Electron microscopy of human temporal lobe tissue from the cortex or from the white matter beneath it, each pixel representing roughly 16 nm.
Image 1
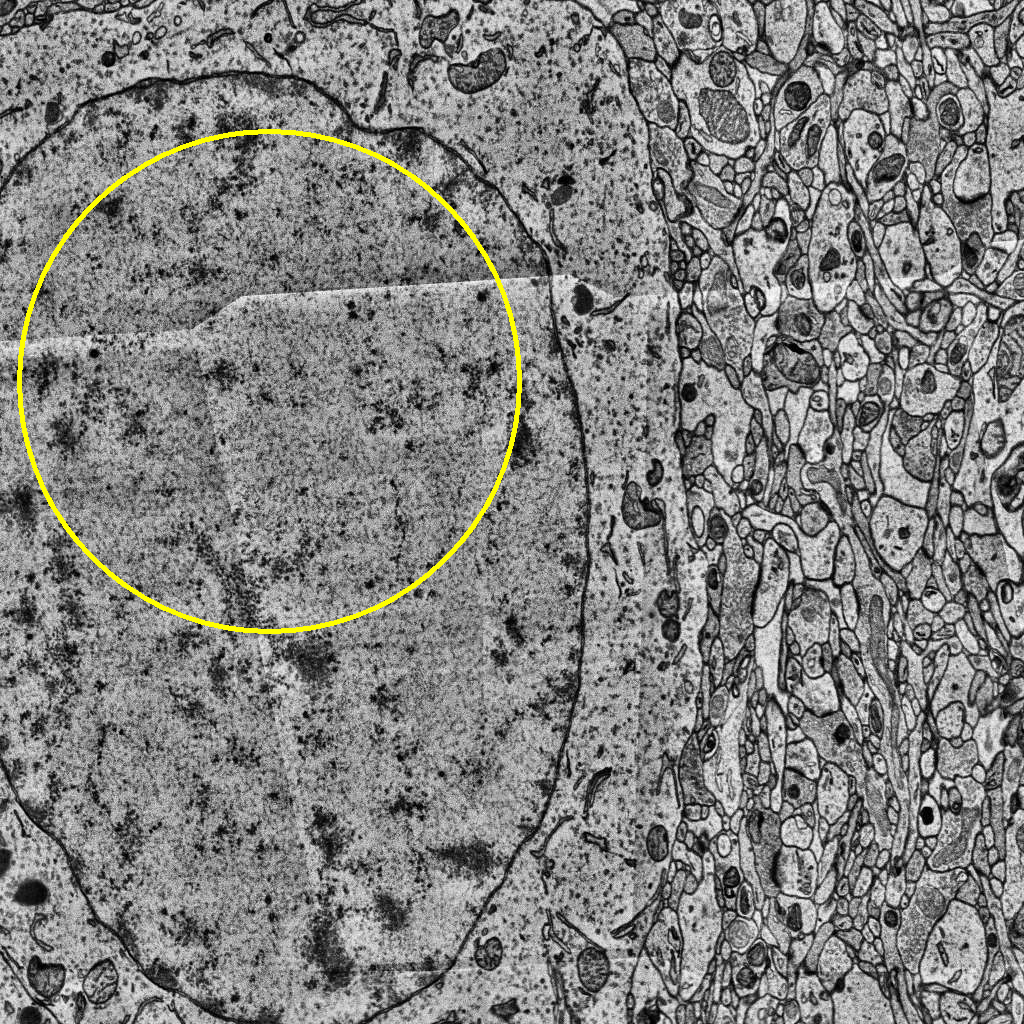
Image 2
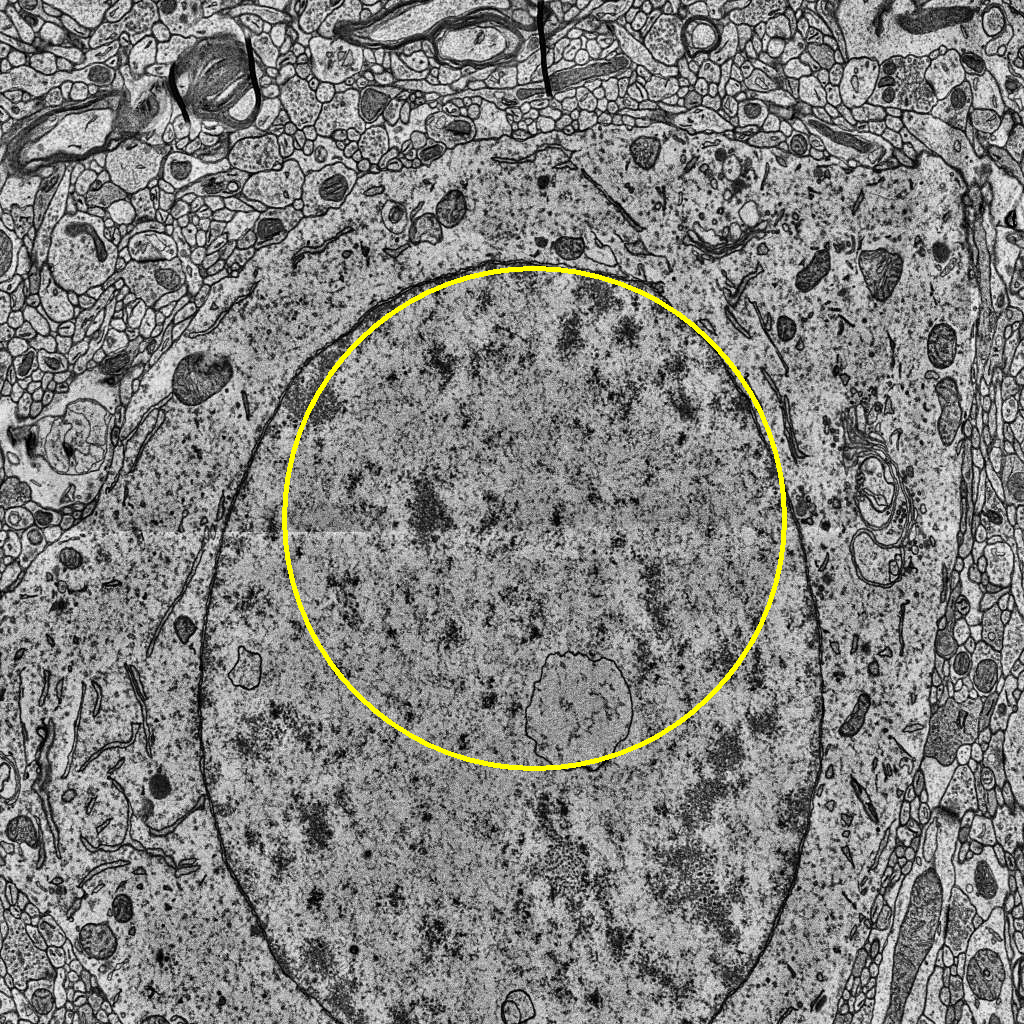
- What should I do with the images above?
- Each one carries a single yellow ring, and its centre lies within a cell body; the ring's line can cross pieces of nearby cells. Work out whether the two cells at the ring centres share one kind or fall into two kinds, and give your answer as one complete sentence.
The ring-centre cells of Image 1 and Image 2 share one kind.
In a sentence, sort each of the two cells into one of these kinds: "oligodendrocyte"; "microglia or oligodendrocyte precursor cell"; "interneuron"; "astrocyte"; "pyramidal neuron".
Each of the two rings surrounds a pyramidal neuron.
